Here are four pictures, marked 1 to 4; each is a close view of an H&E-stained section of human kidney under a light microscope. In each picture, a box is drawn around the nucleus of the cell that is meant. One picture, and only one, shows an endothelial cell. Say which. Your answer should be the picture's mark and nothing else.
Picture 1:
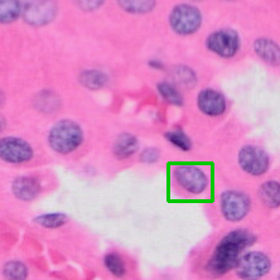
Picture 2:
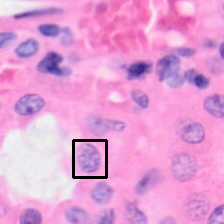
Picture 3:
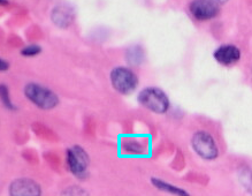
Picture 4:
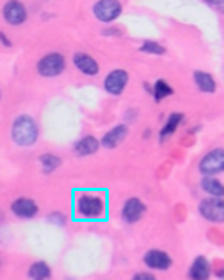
3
